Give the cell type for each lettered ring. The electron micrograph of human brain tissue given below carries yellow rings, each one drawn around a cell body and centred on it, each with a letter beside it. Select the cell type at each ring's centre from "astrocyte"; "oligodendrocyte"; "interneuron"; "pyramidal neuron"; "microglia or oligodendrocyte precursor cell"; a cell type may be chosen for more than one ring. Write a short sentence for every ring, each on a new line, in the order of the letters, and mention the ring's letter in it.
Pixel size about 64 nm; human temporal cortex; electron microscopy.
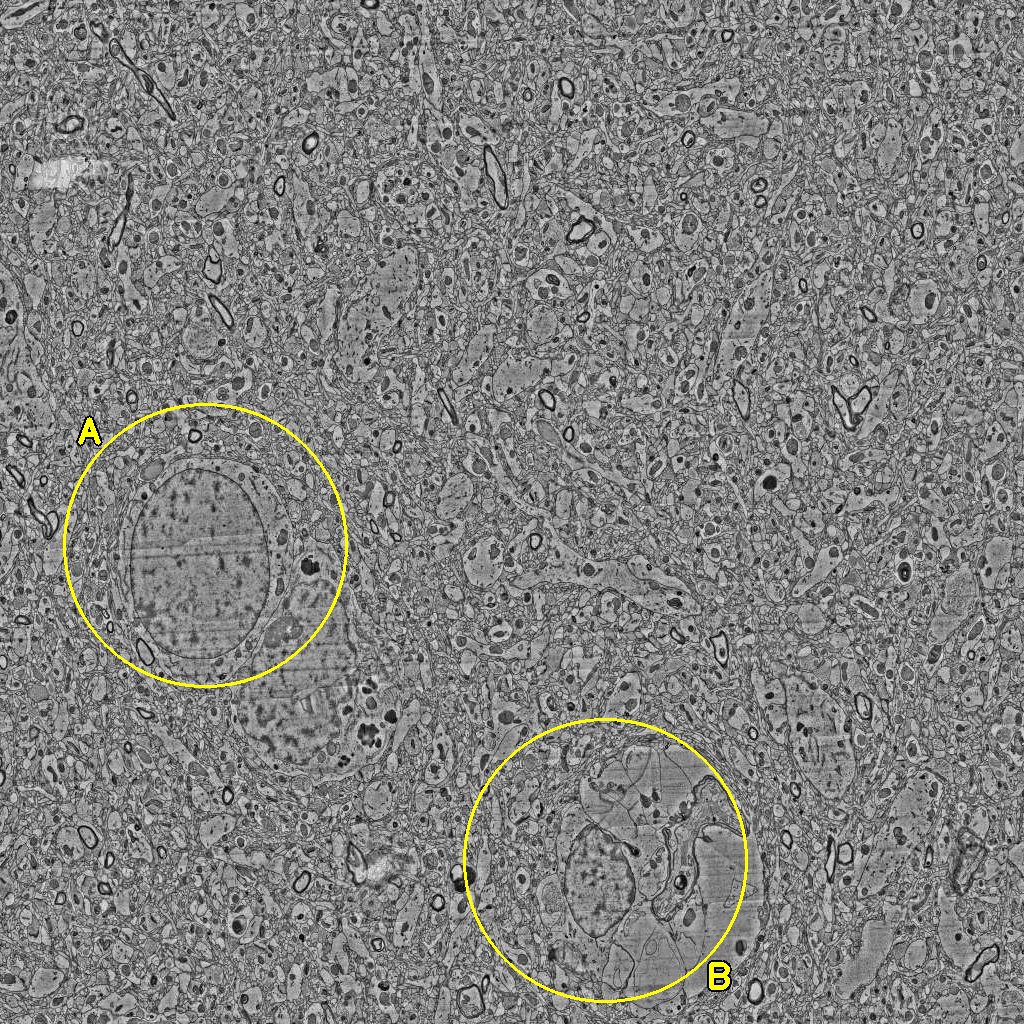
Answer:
The cell type for ring A is a pyramidal neuron.
The cell type for ring B is a microglial cell or oligodendrocyte precursor cell.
